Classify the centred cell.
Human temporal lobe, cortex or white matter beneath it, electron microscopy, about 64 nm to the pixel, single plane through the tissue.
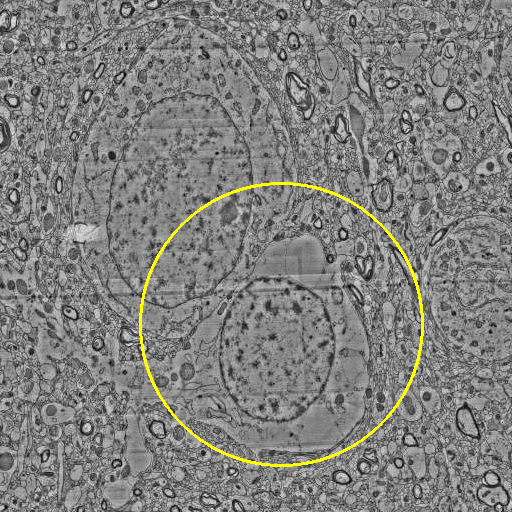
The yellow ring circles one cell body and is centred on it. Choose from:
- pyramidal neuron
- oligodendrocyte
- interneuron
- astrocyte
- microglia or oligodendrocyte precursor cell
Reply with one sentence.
The ring is centred on an astrocyte.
